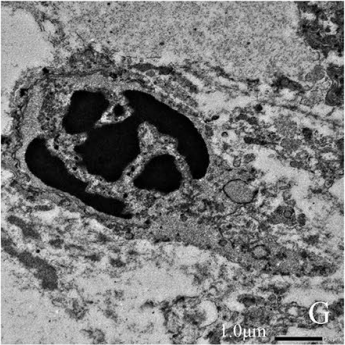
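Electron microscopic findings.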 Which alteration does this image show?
Chromatin aggregation and fragmentation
